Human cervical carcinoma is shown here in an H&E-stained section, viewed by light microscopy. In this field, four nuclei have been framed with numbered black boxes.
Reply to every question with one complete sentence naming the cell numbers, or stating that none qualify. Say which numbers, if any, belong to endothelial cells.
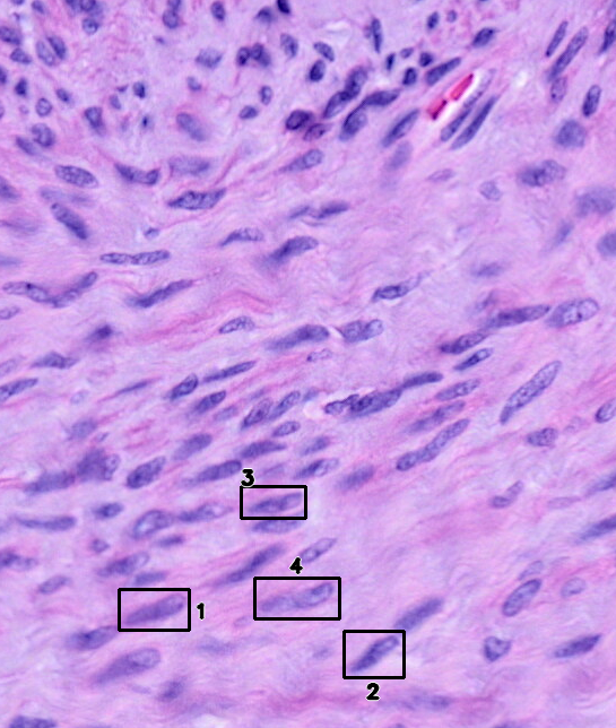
Numbered cell by numbered cell, the tally of endothelial cells stays at zero.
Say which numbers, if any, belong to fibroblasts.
Only one marked cell, number 2, is a fibroblast.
